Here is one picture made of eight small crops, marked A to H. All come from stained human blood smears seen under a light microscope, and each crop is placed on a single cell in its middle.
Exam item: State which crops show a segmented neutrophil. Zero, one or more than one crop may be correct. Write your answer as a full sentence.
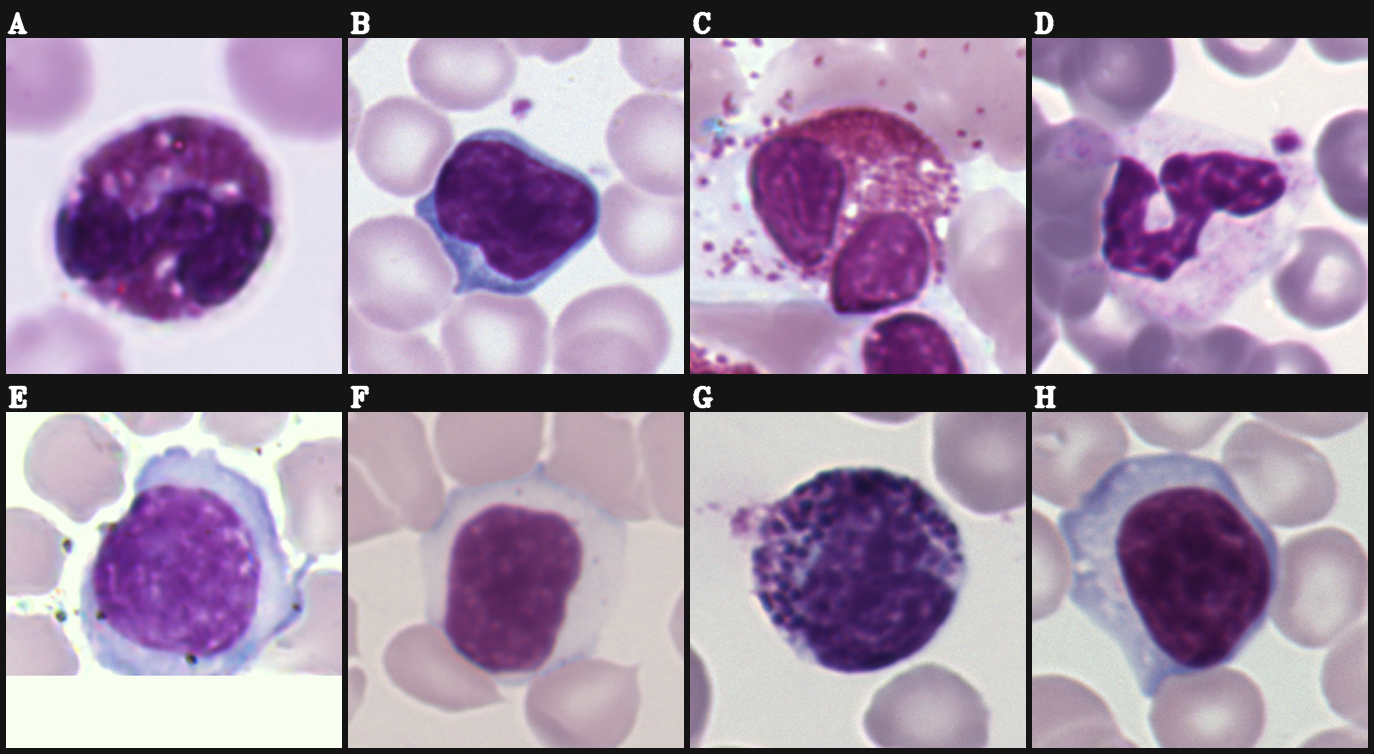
Of the crops given, a segmented neutrophil is shown by crop D alone.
